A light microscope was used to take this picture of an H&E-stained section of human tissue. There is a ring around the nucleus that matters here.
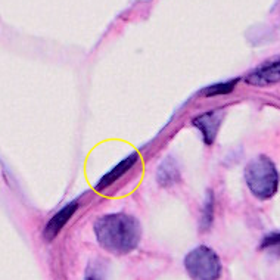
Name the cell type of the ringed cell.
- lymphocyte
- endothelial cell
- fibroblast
endothelial cell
